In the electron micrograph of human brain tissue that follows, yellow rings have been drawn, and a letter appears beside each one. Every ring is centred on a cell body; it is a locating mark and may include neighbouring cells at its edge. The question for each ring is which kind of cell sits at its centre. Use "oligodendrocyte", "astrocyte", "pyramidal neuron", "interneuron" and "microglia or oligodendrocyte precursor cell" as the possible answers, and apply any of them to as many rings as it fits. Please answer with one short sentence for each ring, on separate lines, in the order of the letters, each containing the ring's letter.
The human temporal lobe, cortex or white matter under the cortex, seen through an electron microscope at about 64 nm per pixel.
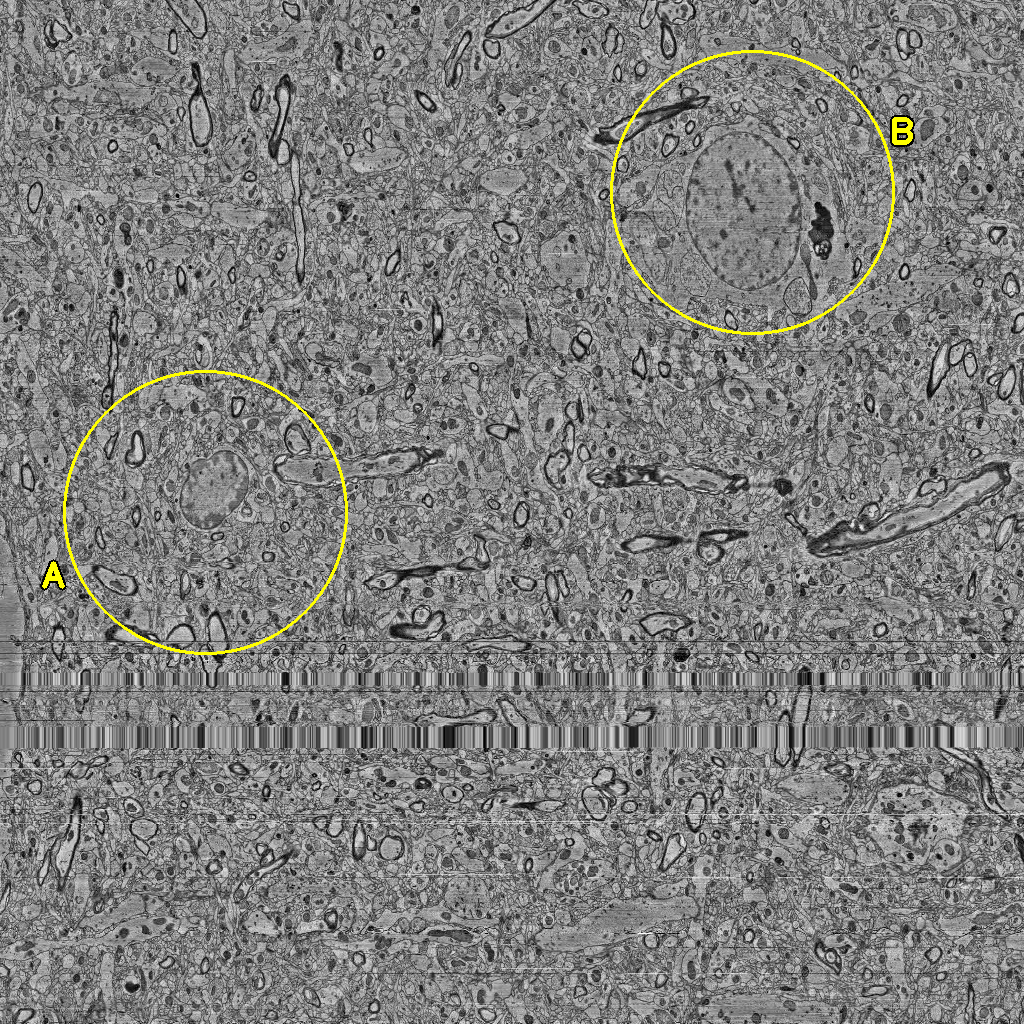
Sitting at the centre of ring A is a microglial cell or oligodendrocyte precursor cell.
Sitting at the centre of ring B is an astrocyte.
